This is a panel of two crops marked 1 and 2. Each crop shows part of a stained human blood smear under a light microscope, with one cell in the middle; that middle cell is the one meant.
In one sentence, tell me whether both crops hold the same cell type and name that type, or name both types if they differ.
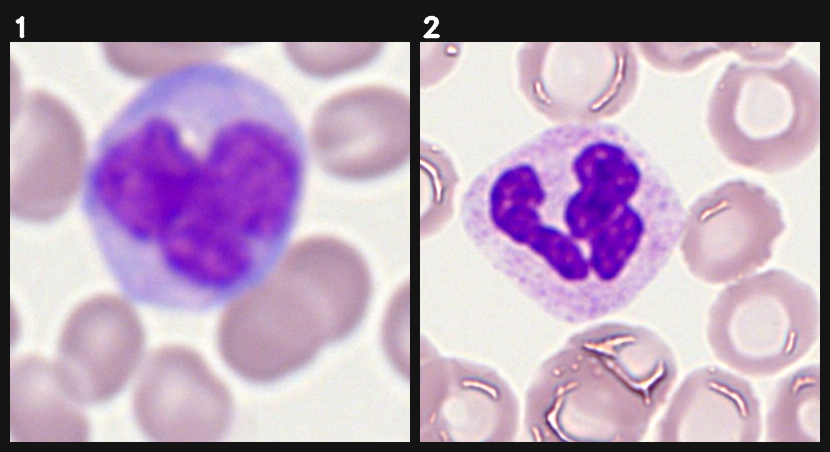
No, crop 1 has a monocyte in the middle, and crop 2 has a segmented neutrophil.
